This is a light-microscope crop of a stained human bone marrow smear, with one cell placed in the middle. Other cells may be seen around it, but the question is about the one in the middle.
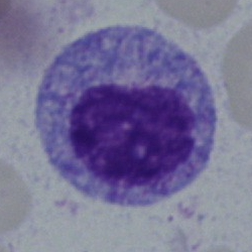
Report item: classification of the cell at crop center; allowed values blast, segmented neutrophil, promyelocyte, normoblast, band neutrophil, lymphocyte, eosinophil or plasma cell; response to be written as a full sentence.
In this smear crop, the middle cell is a promyelocyte.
